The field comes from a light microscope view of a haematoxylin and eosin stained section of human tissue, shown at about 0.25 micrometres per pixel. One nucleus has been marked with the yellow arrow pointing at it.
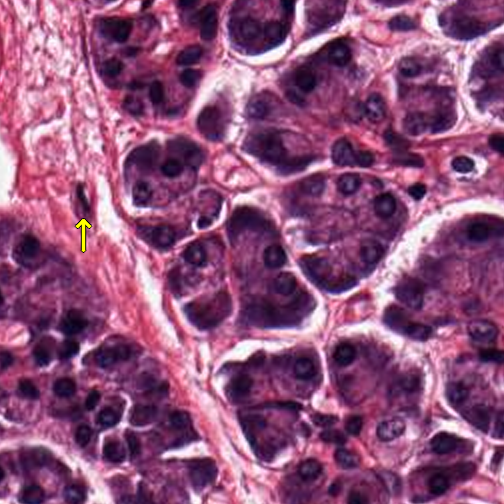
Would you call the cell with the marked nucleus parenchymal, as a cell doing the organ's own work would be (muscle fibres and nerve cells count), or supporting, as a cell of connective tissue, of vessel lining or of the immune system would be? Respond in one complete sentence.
It is in a supporting cell that the marked nucleus lies.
